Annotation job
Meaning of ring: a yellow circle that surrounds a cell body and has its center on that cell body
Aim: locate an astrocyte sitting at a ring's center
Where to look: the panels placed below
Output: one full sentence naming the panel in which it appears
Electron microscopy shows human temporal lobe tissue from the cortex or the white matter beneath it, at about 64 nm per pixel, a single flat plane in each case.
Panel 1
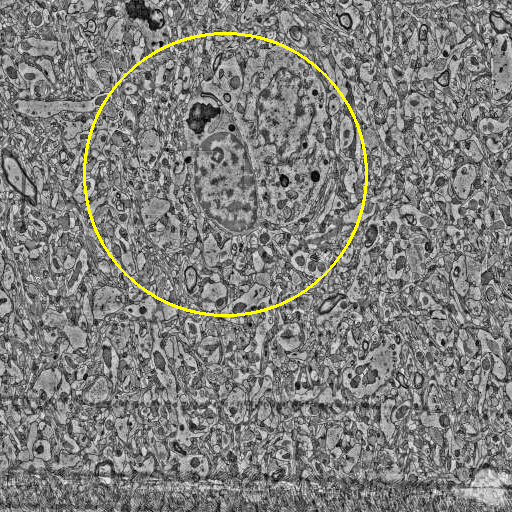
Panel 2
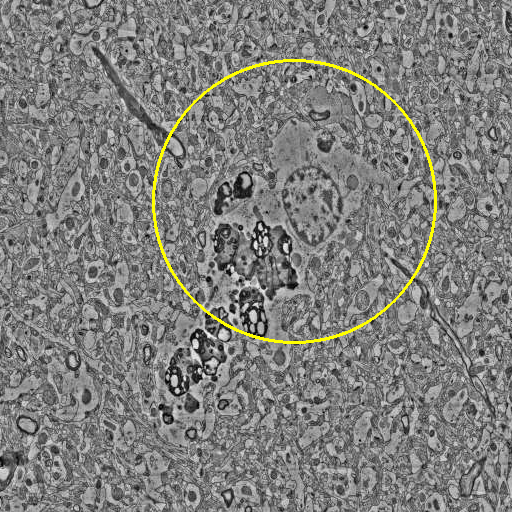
The cell at the center of the ring in panel 2 is the one sought.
